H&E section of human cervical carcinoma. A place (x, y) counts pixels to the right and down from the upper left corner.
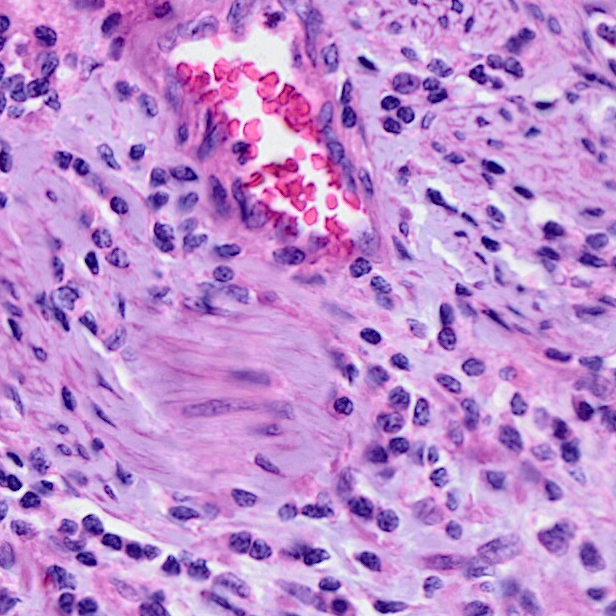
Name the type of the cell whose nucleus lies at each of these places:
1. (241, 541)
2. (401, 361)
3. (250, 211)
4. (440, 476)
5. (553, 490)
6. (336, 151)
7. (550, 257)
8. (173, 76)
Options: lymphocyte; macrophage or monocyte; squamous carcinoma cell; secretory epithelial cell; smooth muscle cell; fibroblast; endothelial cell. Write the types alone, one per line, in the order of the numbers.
lymphocyte
lymphocyte
endothelial cell
lymphocyte
lymphocyte
endothelial cell
lymphocyte
endothelial cell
